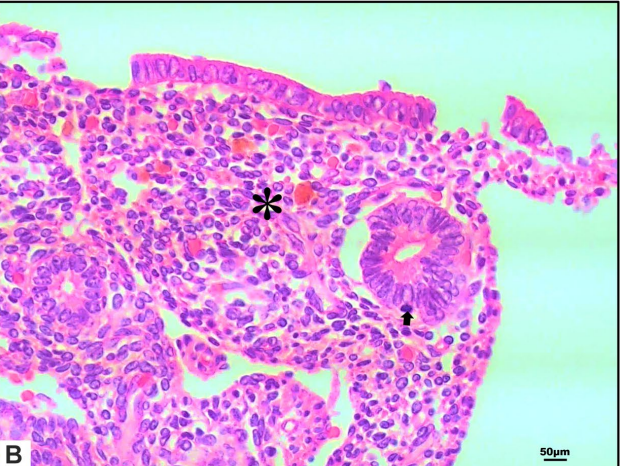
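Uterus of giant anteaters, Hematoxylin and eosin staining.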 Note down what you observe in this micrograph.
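This is uterine endometrium near the lumen. Along the top runs a lining epithelium of tall cells with a pink apical border. Below it the stroma is densely packed with cells bearing small oval to spindle-shaped dark purple nuclei and scant cytoplasm, threaded by thin-walled capillaries full of red blood cells. Glands cut in cross section sit within this stroma: each is a ring of tall columnar cells whose elongated nuclei lie at the base, all pointing toward a small central lumen, giving a rosette-like look. The glands are surrounded closely by the stromal cells.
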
